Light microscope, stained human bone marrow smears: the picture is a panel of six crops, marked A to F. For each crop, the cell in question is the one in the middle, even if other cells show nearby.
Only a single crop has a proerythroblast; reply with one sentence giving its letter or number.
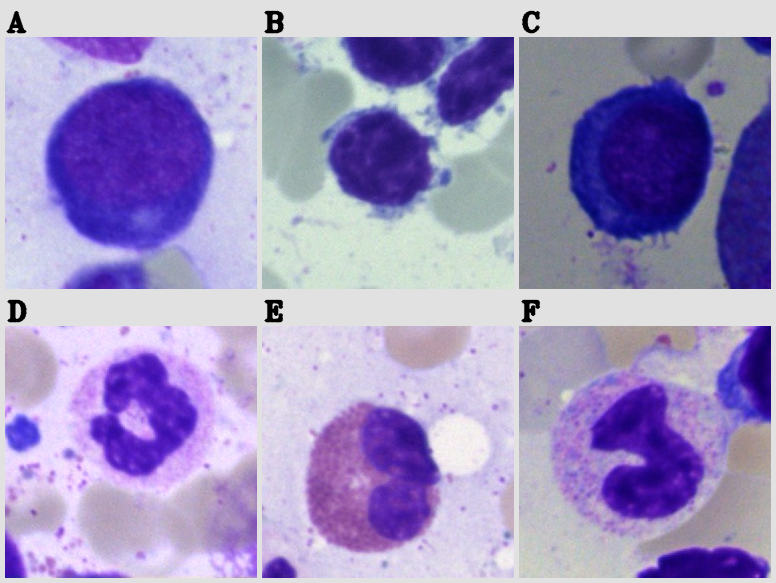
Crop A is the single crop that shows a proerythroblast.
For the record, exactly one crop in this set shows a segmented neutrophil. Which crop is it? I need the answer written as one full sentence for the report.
Crop D, and no other, is the one that shows a segmented neutrophil.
